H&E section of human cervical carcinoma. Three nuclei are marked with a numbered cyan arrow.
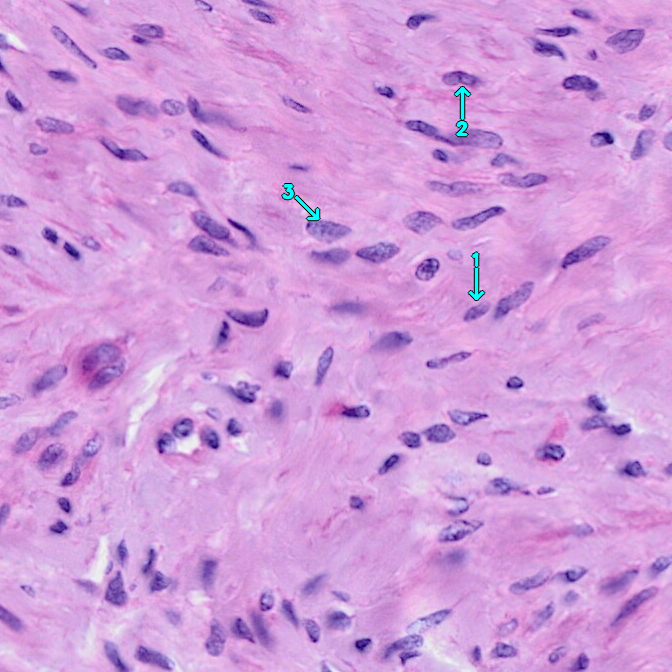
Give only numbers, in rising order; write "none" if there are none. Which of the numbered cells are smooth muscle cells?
2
